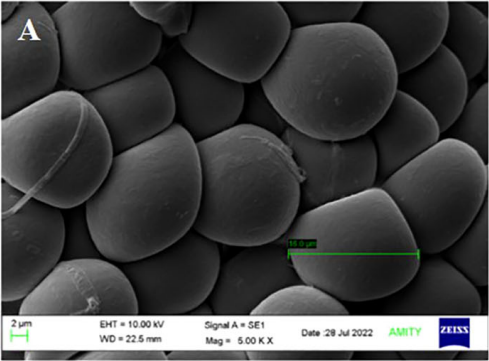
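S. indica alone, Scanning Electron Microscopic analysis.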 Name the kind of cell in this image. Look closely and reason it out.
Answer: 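Tightly packed, smooth-walled rounded to pear-shaped bodies. Each body is roughly 10 to 15 µm across against the scale bar. No hyphae connecting the bodies in view.
Answer: spore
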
